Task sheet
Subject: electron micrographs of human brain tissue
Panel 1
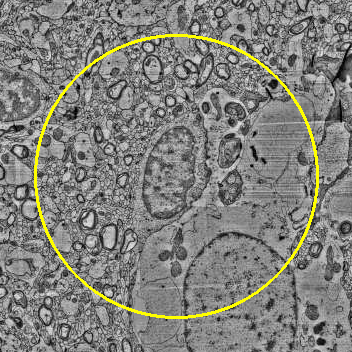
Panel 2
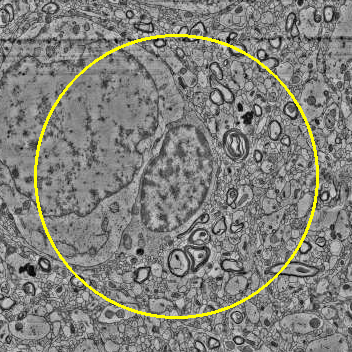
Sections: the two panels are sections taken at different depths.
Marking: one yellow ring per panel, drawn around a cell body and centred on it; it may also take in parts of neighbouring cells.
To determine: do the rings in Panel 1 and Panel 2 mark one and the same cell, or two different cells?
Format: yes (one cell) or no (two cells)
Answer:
no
